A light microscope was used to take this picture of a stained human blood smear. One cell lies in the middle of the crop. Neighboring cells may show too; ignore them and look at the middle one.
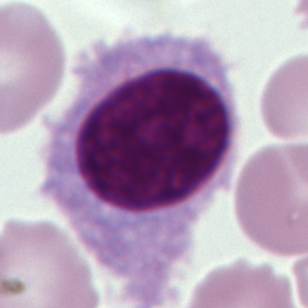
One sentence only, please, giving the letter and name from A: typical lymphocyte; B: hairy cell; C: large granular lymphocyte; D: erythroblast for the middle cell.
It is a hairy cell that occupies the centre of the crop, so option B is correct.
